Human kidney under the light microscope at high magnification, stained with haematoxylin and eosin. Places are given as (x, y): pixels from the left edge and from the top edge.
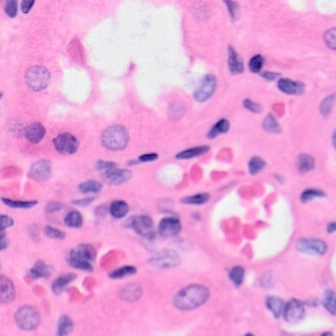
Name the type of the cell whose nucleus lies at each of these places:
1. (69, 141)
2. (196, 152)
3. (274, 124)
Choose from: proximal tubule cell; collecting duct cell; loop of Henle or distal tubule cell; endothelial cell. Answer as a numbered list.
1. proximal tubule cell
2. endothelial cell
3. endothelial cell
